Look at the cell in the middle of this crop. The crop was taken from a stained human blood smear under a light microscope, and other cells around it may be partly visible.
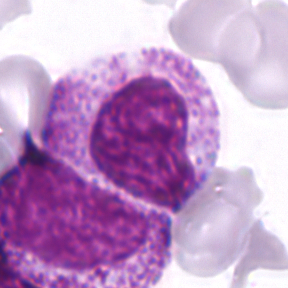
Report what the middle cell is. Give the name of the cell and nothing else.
band neutrophil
